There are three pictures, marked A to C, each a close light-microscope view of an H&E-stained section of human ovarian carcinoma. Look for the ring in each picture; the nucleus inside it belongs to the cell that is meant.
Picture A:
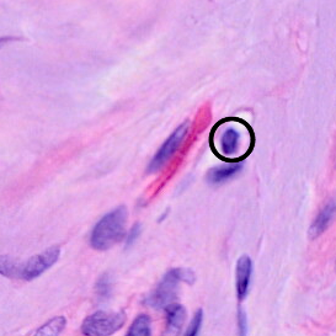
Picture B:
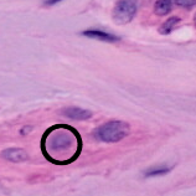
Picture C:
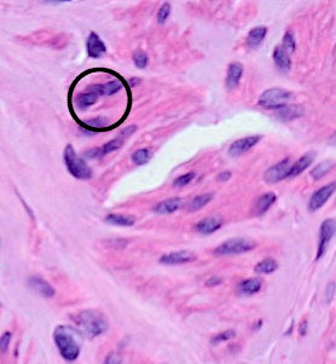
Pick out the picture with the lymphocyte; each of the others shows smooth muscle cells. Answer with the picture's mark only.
A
